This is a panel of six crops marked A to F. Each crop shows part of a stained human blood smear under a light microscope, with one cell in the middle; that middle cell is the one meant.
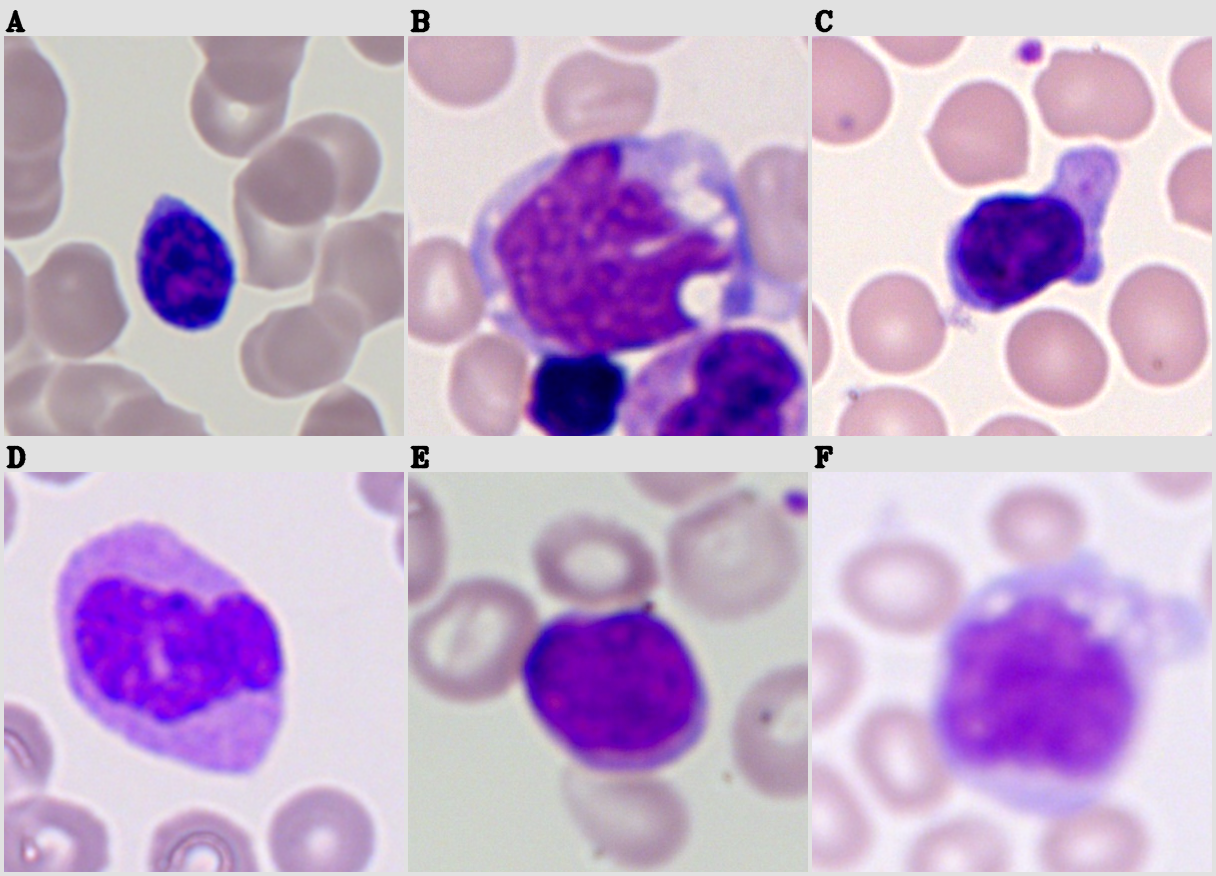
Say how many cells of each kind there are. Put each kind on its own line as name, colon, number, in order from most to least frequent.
monocyte: 3
lymphocyte: 2
blast: 1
